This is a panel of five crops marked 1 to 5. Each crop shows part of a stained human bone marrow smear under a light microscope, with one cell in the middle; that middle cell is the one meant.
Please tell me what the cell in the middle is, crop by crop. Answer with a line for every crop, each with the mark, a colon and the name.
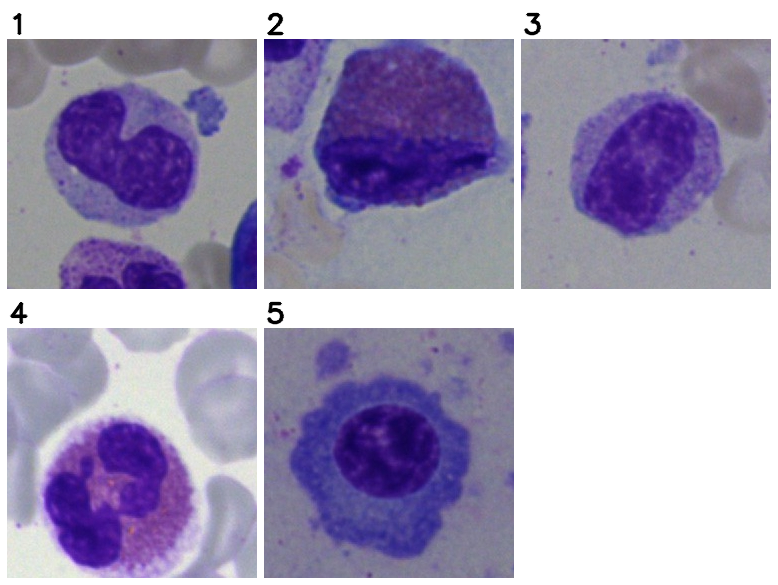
1: band neutrophil
2: eosinophil
3: metamyelocyte
4: eosinophil
5: plasma cell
